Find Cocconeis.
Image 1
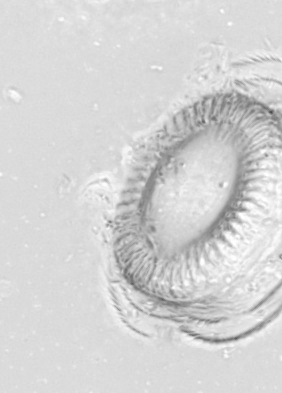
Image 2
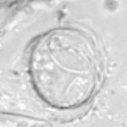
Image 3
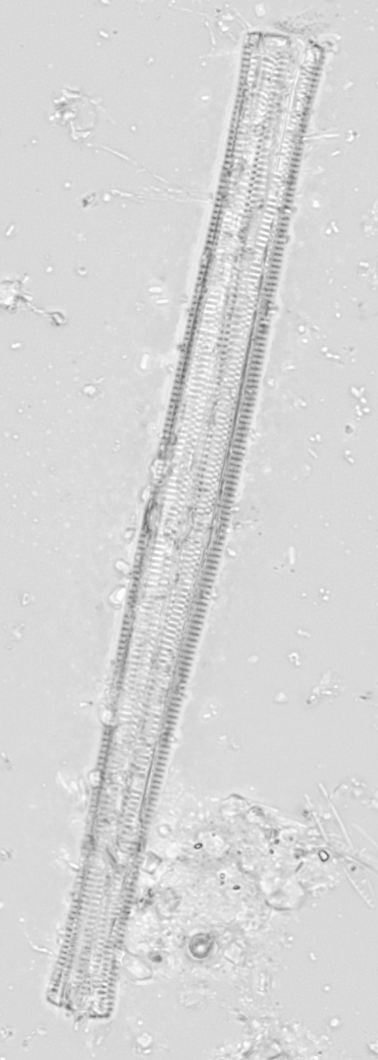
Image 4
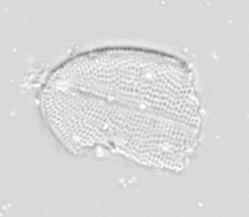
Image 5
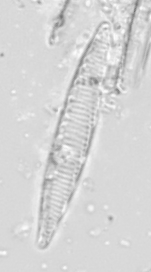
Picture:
4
